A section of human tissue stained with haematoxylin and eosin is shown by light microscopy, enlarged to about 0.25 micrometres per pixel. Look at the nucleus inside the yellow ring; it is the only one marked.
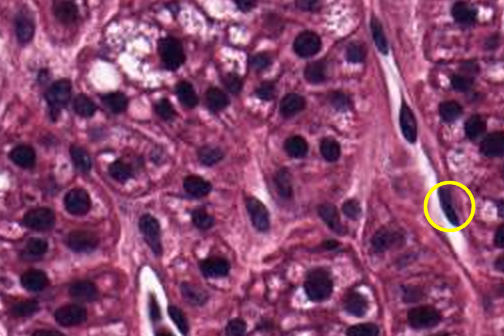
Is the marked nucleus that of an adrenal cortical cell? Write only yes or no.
no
